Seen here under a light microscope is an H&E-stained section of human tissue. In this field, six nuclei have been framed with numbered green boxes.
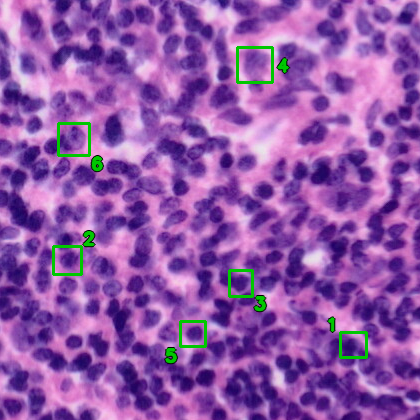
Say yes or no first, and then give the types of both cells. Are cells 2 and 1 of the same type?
Yes, of the numbered cells, 2 and 1 are both small lymphocytes.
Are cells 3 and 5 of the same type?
Yes, cells 3 and 5 are small lymphocytes, both of them.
